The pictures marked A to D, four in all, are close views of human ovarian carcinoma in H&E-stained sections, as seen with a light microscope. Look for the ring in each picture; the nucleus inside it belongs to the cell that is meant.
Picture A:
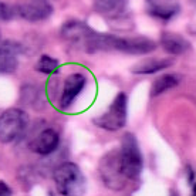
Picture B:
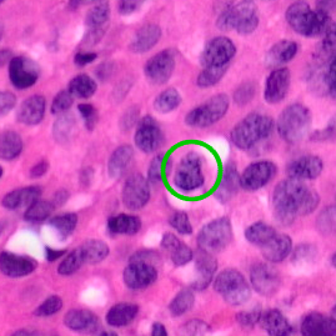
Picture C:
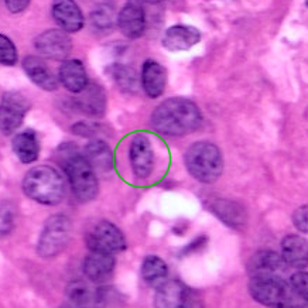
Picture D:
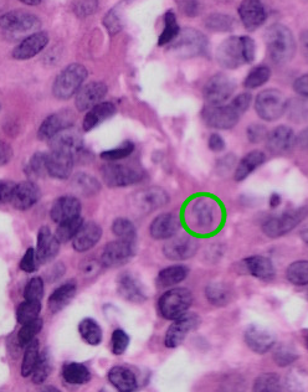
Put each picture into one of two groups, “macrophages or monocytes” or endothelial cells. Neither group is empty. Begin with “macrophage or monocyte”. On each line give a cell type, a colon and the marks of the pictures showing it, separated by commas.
macrophage or monocyte: A, B, C
endothelial cell: D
